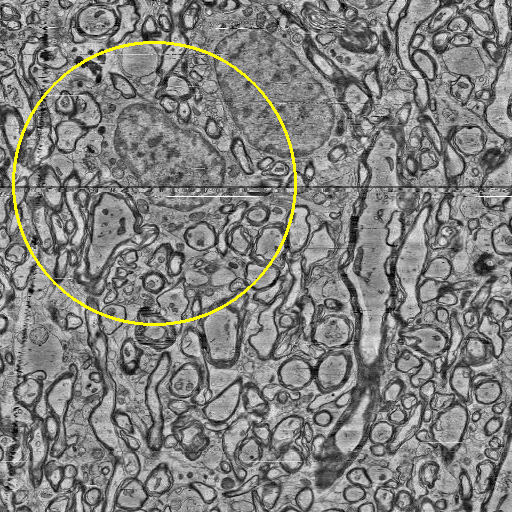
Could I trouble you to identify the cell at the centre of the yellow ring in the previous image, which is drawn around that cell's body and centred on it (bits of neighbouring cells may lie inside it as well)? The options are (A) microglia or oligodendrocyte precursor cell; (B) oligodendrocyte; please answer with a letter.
B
